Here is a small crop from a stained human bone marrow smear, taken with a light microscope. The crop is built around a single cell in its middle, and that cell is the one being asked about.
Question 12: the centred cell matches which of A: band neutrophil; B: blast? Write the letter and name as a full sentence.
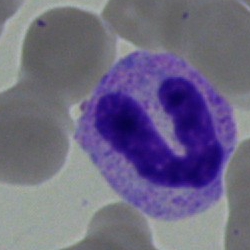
Of the options given, A is correct, the central cell being a band neutrophil.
